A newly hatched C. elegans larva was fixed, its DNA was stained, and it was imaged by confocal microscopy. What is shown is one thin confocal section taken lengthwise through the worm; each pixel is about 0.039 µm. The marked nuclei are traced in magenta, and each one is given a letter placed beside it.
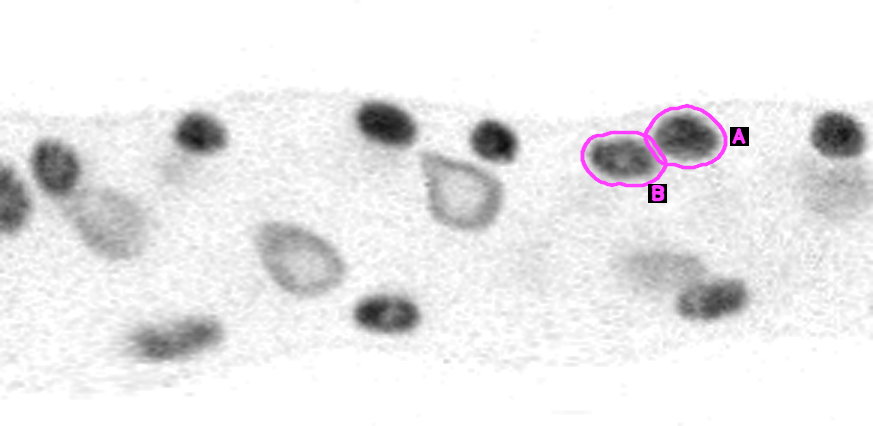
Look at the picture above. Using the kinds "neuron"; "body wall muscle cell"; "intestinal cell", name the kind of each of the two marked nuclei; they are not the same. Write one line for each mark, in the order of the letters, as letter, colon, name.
A: neuron
B: body wall muscle cell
